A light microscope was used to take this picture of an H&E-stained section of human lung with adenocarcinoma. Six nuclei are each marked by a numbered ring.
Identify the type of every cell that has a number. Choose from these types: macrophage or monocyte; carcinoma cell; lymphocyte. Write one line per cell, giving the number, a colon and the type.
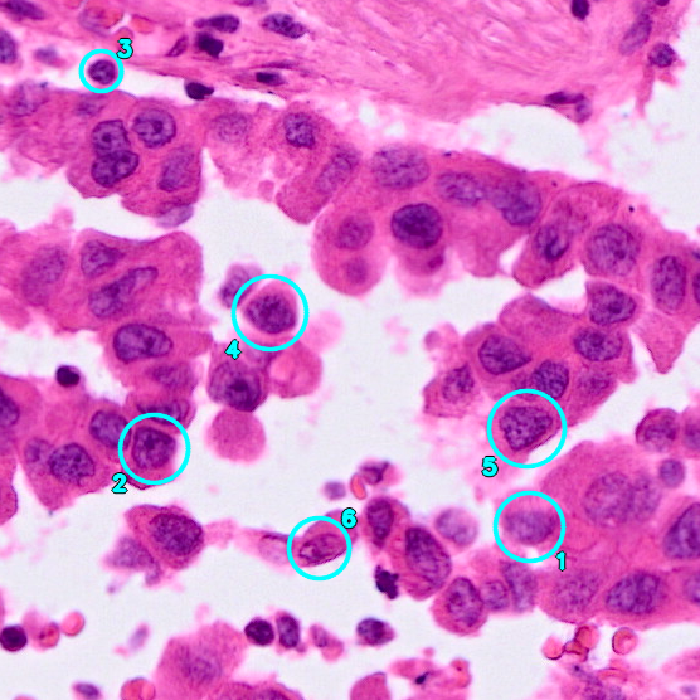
1: carcinoma cell
2: carcinoma cell
3: lymphocyte
4: carcinoma cell
5: carcinoma cell
6: macrophage or monocyte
